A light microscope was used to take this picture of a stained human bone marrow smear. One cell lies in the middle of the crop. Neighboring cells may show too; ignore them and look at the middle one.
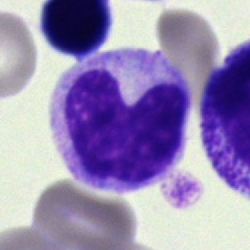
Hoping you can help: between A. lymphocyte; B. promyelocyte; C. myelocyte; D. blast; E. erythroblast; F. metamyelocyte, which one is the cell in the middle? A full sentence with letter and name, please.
The cell at the centre is a metamyelocyte, and option F accordingly is correct.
